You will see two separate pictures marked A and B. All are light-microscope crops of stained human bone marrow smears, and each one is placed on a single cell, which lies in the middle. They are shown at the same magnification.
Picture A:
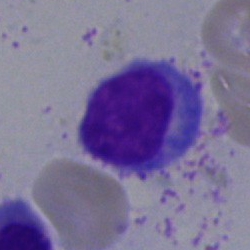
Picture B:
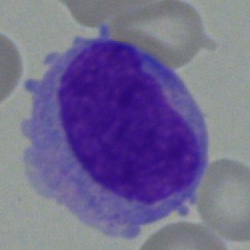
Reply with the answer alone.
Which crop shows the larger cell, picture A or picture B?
B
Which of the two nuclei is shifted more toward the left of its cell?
A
